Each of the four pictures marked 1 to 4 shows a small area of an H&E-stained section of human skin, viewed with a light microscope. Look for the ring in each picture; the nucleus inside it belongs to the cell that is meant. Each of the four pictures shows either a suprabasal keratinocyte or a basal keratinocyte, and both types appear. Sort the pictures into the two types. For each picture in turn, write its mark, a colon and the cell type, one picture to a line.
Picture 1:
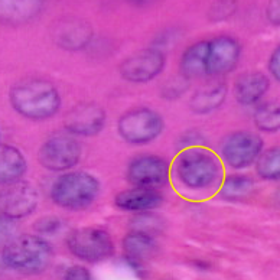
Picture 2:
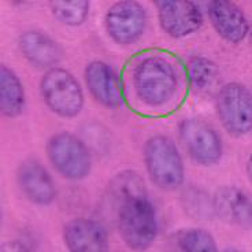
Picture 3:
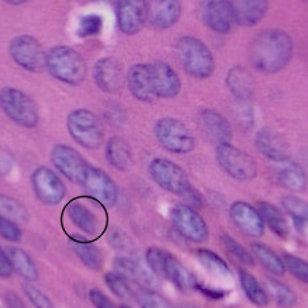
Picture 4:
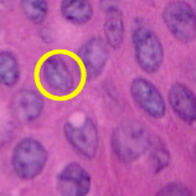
1: basal keratinocyte
2: suprabasal keratinocyte
3: basal keratinocyte
4: suprabasal keratinocyte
